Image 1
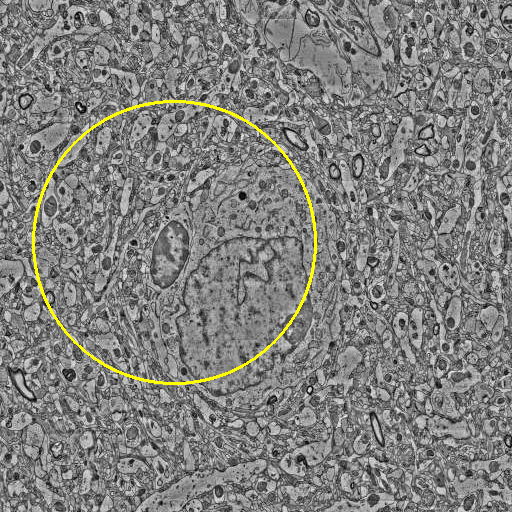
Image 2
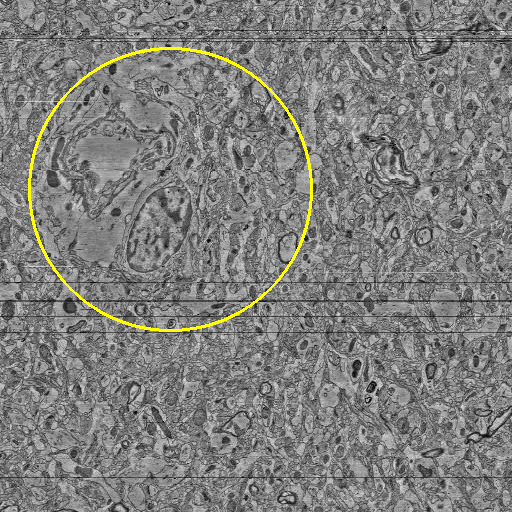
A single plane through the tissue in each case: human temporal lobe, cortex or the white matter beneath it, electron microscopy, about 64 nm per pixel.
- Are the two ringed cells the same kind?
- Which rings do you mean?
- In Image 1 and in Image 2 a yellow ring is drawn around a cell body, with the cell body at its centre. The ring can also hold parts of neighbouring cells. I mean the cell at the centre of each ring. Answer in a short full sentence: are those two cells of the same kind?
Yes, both cells are of the same kind.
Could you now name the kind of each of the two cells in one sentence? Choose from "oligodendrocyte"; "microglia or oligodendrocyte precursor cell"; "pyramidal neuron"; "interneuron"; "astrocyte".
Each of the two cells is a microglial cell or oligodendrocyte precursor cell.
